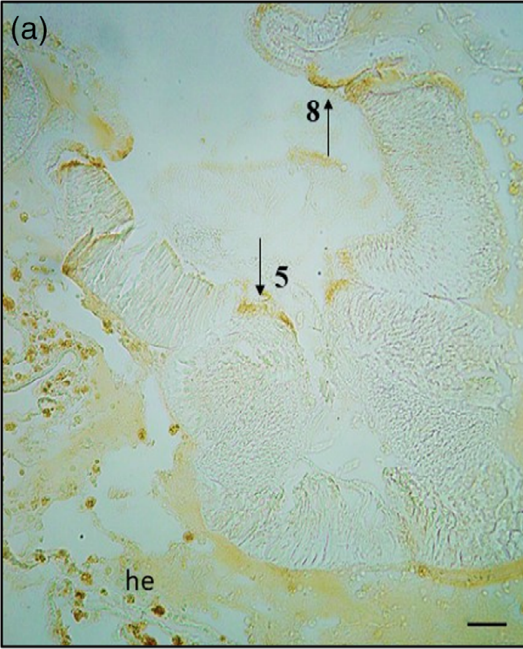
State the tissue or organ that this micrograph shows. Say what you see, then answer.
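Endostyle. A U-shaped organ sectioned across, with a central groove. The walls are made of tall columnar cells arranged in distinct bands along each side. Loose rounded cells lie outside the organ at the lower left.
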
